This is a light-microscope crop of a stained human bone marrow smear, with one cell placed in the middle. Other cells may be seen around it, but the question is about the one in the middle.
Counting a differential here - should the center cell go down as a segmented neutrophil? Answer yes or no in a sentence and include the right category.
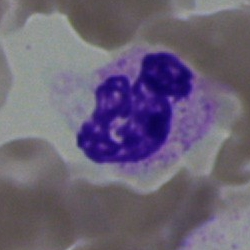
Yes, the cell in the middle of the view is a segmented neutrophil.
